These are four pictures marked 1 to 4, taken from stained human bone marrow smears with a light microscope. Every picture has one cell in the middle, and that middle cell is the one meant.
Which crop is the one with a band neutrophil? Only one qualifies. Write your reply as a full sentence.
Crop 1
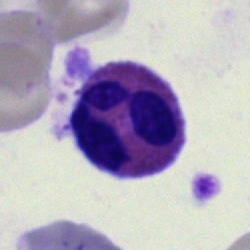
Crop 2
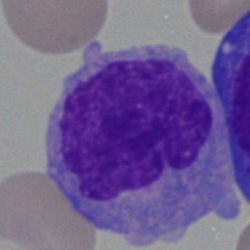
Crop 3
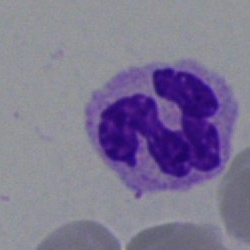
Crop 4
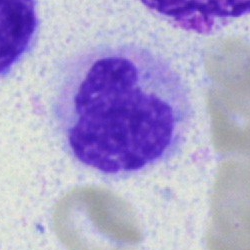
Identified crop: 4, the one that shows a band neutrophil.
